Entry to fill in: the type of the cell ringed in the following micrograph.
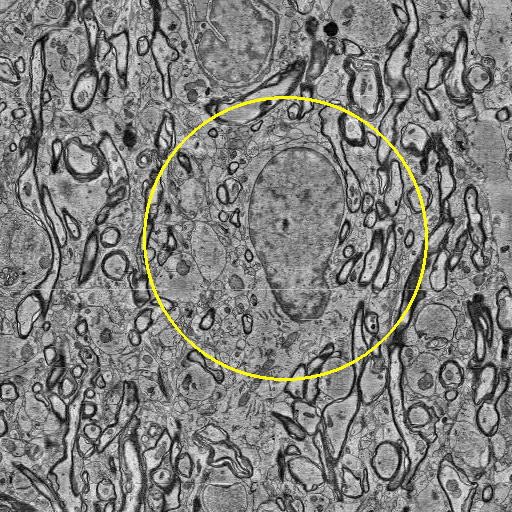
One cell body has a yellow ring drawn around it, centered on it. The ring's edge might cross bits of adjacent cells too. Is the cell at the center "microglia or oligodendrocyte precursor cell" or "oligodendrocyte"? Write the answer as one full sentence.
This entry names a microglial cell or oligodendrocyte precursor cell as the cell whose body lies at the ring's center.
